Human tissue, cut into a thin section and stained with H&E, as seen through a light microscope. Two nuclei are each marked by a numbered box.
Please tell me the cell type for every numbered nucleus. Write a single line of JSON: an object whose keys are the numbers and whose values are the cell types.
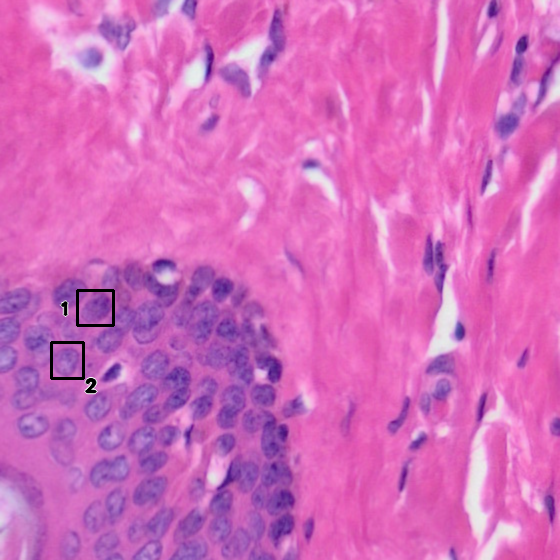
{"1": "basal keratinocyte", "2": "suprabasal keratinocyte"}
